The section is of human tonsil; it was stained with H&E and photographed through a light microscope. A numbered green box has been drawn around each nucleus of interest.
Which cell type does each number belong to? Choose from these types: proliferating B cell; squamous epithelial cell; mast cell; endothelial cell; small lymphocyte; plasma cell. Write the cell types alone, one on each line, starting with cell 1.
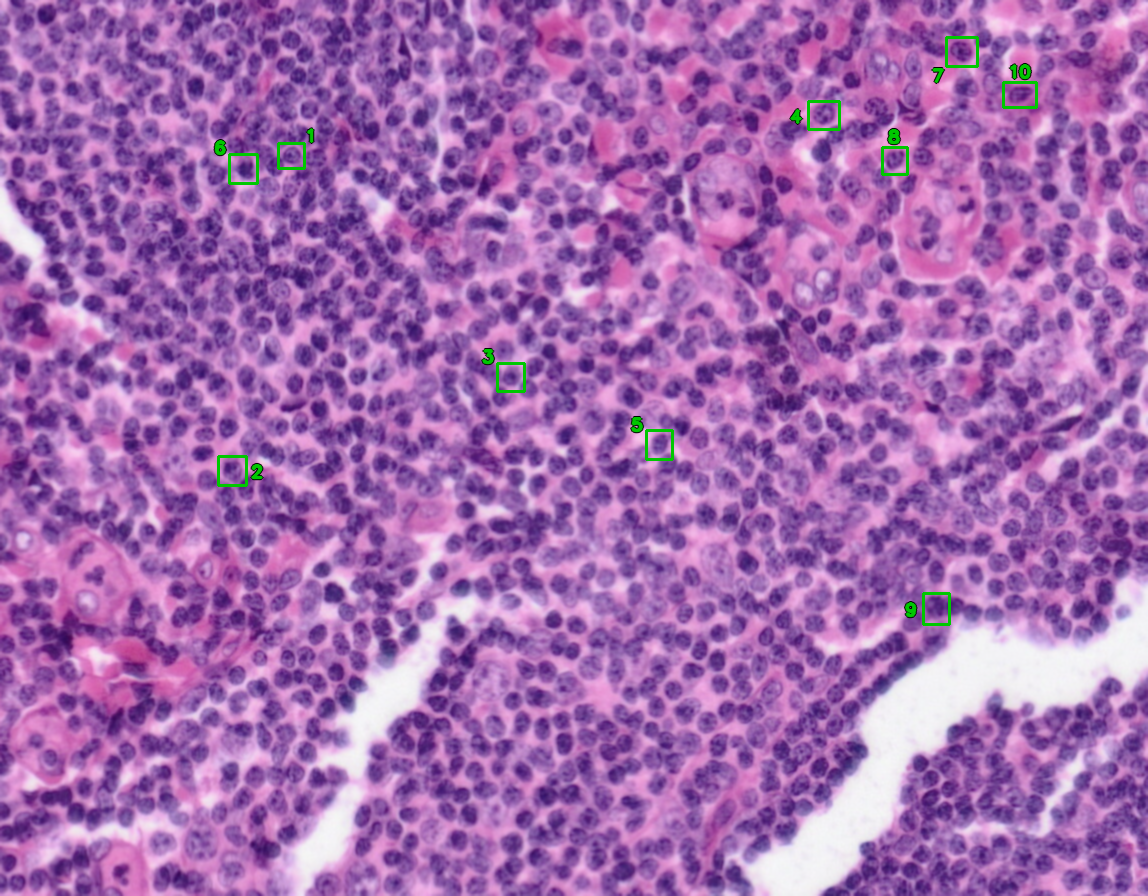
small lymphocyte
small lymphocyte
small lymphocyte
plasma cell
small lymphocyte
small lymphocyte
plasma cell
plasma cell
small lymphocyte
plasma cell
